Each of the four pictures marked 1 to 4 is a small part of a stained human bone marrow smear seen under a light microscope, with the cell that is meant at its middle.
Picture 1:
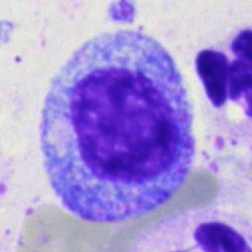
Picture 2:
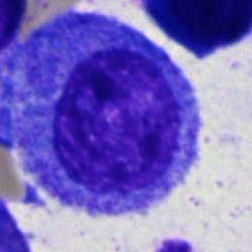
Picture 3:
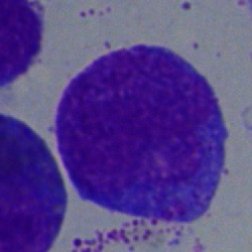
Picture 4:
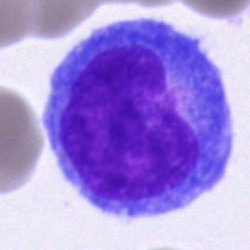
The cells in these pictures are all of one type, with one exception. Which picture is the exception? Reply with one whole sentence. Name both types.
Picture 4 is the odd one out: it shows a blast, while the others show promyelocytes.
